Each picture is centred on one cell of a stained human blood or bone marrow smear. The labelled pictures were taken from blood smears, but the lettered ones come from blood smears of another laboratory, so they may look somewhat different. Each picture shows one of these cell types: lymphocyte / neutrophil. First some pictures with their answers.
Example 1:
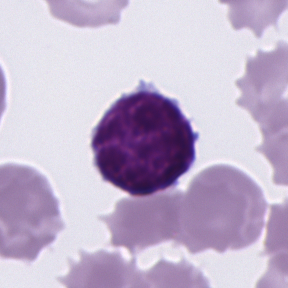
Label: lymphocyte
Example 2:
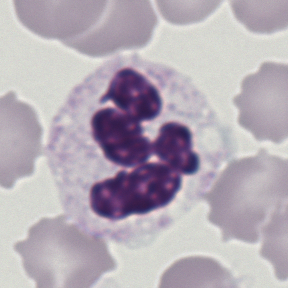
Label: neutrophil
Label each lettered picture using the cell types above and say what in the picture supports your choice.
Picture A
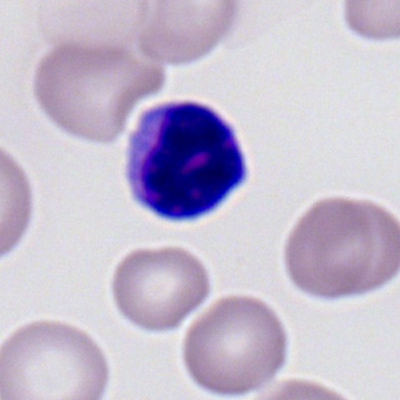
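lymphocyte. Evidence: The nucleus fills almost the whole cell.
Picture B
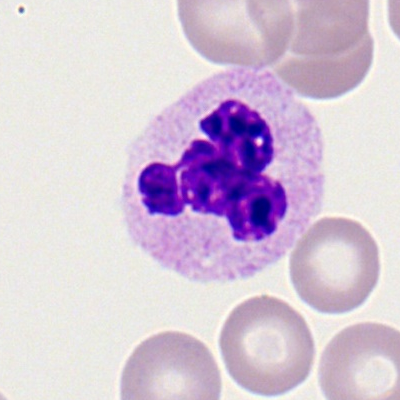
neutrophil. Evidence: The cytoplasm is abundant and pale pinkish-lilac.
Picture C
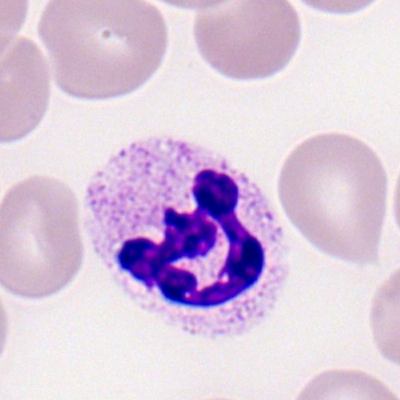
neutrophil. Evidence: The nucleus is divided into several lobes joined to one another.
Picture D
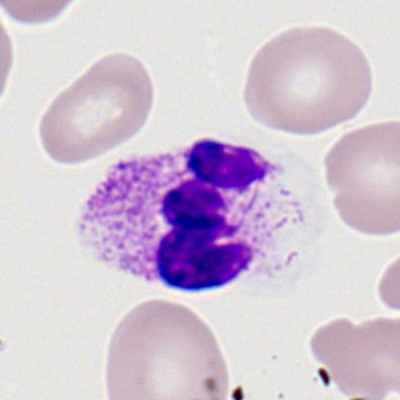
neutrophil. Evidence: The nucleus is split into three separate lobes.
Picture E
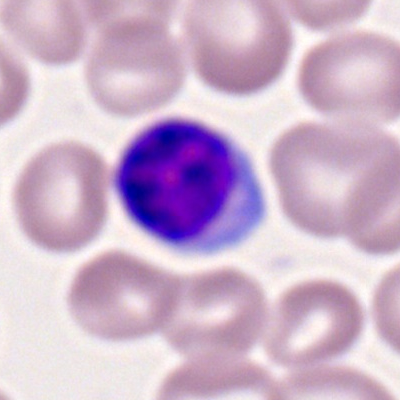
lymphocyte. Evidence: The cytoplasm is a scant pale blue rim.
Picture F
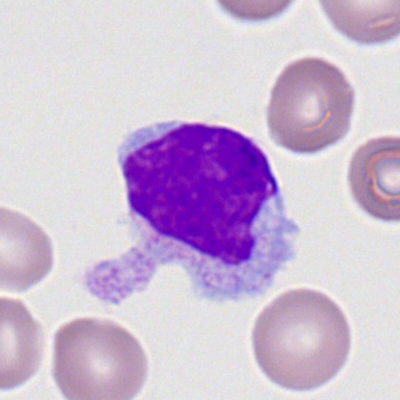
lymphocyte. Evidence: The nucleus is a single unlobed mass.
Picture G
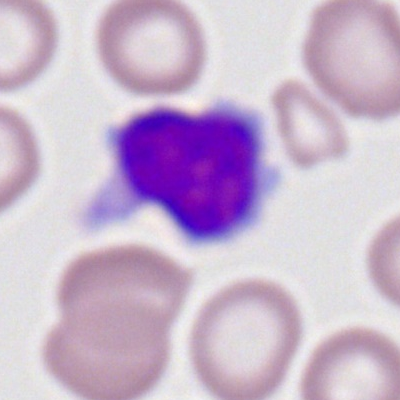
lymphocyte. Evidence: The cytoplasm is scant, showing only as a thin rim and small tags around the nucleus.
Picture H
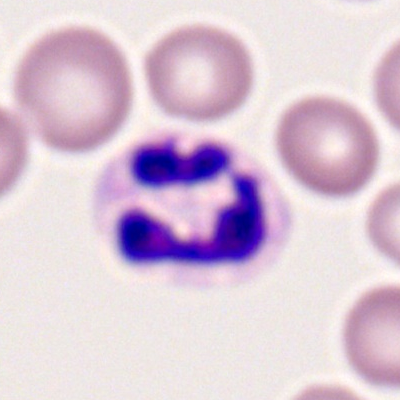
neutrophil. Evidence: The nuclear lobes curve around a pale central area of cytoplasm.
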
